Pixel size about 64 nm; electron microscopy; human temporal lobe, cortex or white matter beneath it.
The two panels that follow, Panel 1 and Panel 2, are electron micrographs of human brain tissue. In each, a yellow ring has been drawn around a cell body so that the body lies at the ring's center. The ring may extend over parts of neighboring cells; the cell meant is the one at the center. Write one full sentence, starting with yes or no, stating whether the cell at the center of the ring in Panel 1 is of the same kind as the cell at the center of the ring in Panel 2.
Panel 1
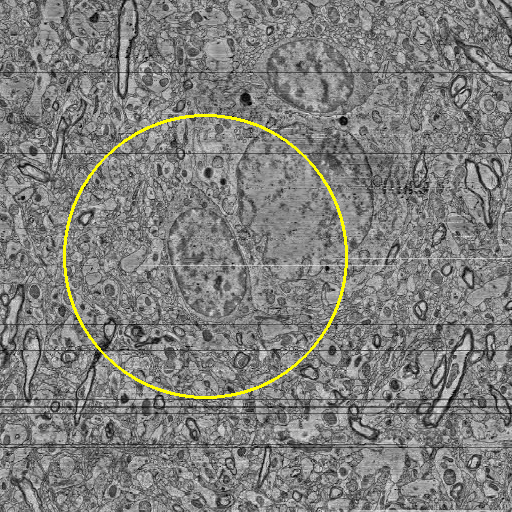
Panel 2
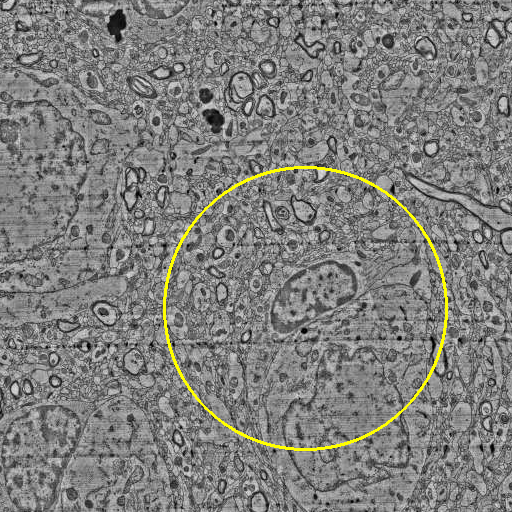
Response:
No, the cells in the two panels are of two kinds.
